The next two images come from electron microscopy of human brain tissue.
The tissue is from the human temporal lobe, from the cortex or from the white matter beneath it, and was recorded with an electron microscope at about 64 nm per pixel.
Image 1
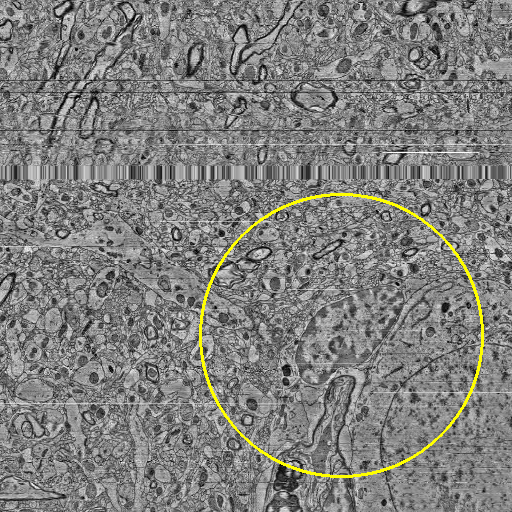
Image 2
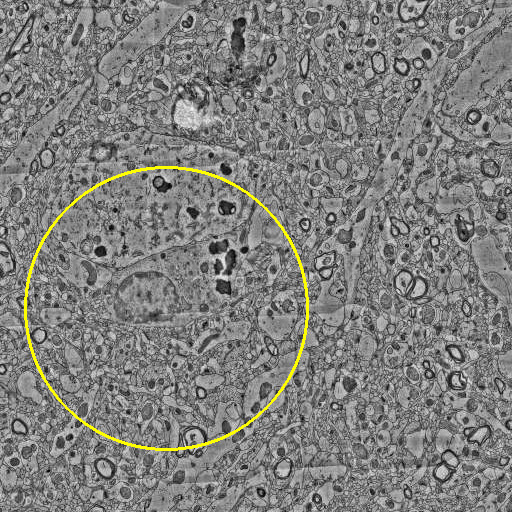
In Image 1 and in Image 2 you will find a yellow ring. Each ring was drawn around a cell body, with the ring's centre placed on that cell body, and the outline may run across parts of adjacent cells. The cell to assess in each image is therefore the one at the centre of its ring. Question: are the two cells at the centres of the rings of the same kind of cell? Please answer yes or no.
no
